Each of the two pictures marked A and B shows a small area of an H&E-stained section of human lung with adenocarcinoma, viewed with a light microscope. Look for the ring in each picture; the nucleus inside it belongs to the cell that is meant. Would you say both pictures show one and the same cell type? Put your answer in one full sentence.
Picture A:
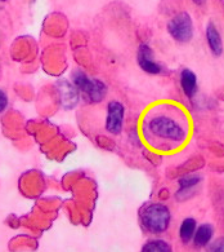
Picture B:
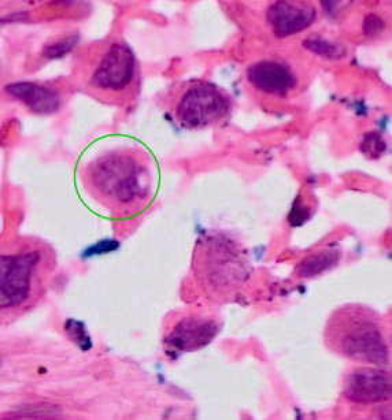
No, picture A shows a type I pneumocyte and picture B shows a carcinoma cell.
